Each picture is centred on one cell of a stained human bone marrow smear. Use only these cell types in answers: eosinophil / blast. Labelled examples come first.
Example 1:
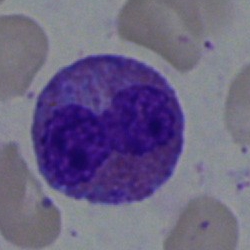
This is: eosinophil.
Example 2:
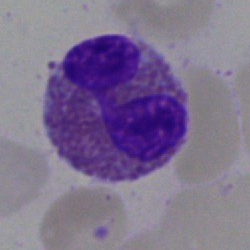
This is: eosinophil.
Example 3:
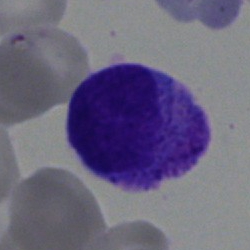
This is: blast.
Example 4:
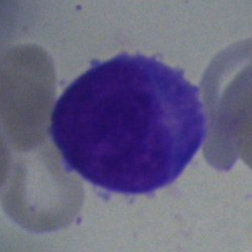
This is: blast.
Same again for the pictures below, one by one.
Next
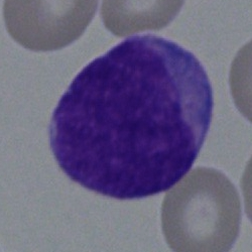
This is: blast.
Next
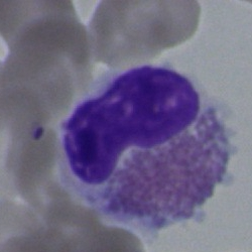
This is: eosinophil.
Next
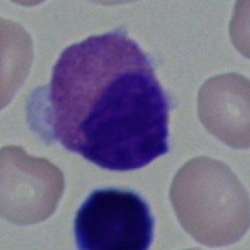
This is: eosinophil.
